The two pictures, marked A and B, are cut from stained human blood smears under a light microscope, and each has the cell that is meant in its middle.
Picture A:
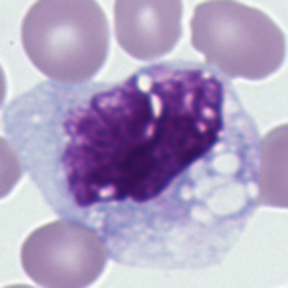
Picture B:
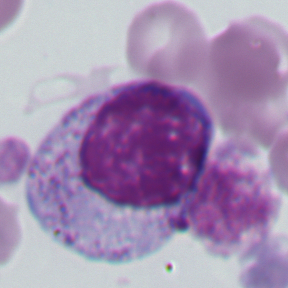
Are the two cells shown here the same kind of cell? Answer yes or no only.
no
